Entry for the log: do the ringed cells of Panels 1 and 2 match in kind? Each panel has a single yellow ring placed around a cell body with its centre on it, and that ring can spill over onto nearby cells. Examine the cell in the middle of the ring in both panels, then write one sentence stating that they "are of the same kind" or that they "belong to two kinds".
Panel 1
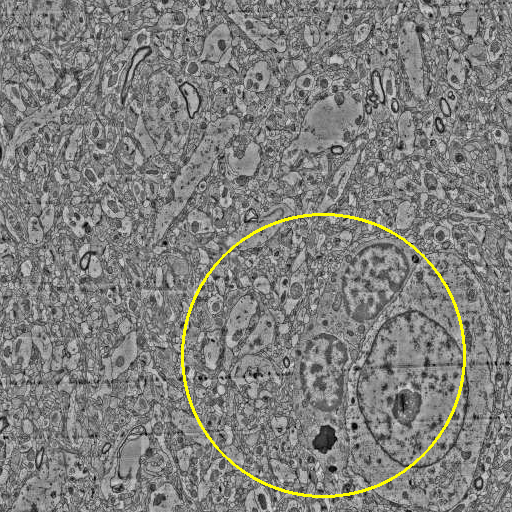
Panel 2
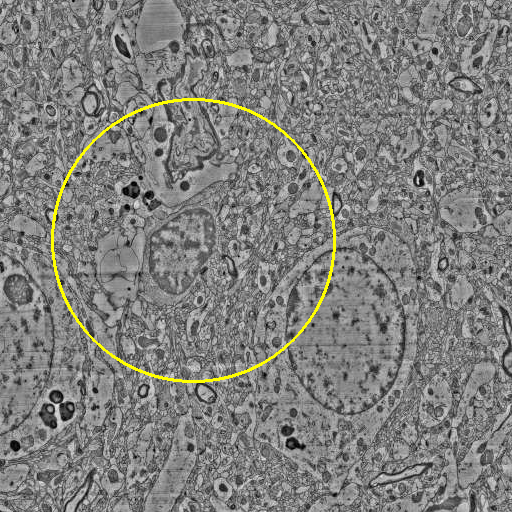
The centre cell of Panel 1's ring and that of Panel 2's ring are of the same kind.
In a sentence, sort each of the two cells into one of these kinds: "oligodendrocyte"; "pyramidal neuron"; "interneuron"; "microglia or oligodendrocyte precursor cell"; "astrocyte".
Both rings mark an oligodendrocyte, one in each picture.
